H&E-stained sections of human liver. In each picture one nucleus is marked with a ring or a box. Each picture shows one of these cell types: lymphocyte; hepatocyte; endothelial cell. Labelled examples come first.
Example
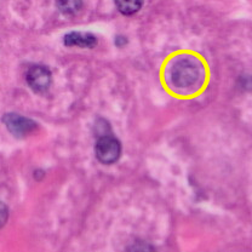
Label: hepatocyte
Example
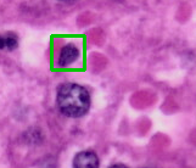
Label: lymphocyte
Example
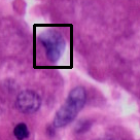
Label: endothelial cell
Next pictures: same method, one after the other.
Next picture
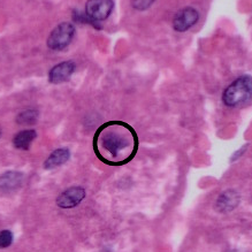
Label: endothelial cell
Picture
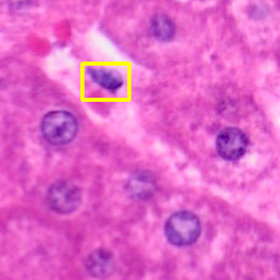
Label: endothelial cell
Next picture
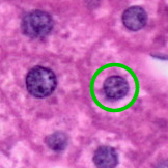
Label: hepatocyte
